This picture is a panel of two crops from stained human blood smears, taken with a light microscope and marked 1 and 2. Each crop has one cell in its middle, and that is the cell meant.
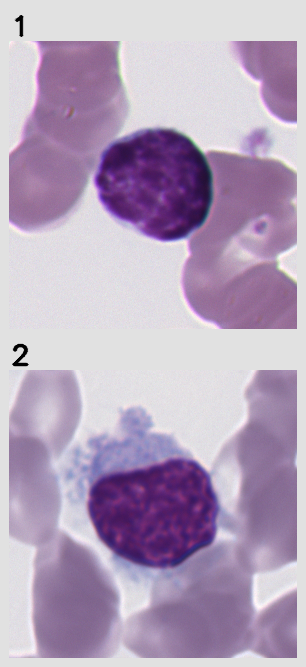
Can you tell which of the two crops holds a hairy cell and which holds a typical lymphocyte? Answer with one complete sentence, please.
Crops 1 and 2 are, respectively, a typical lymphocyte and a hairy cell.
